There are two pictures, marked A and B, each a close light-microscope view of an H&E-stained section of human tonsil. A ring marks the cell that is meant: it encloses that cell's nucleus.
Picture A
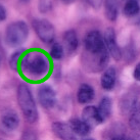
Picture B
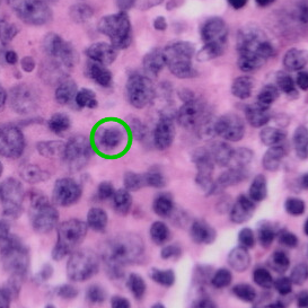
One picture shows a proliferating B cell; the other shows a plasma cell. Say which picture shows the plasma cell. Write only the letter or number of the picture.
A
